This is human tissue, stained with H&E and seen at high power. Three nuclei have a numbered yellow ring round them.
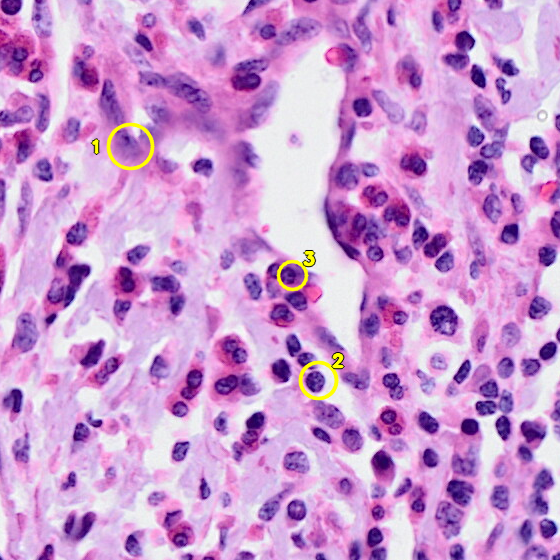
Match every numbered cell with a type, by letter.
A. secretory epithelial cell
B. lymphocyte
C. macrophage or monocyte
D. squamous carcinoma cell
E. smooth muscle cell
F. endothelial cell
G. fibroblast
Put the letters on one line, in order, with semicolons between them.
F; B; F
